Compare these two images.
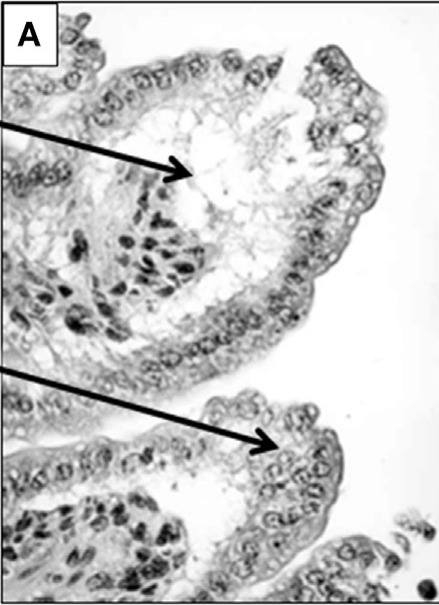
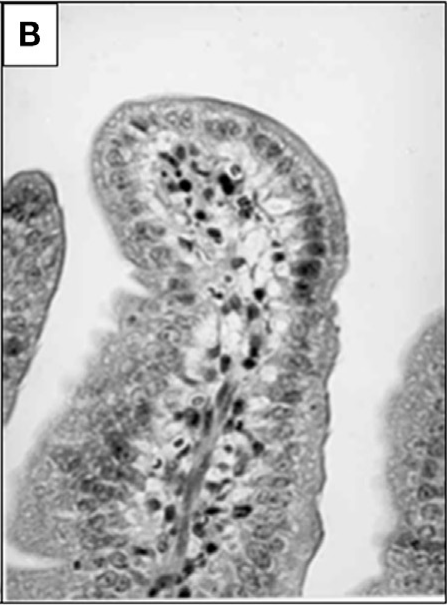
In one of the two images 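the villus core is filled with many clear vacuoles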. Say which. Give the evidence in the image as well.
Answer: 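First image: large pale, foamy, empty-looking spaces fill much of the villus interior.
Hence: the first image.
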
